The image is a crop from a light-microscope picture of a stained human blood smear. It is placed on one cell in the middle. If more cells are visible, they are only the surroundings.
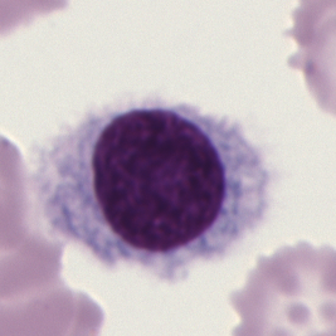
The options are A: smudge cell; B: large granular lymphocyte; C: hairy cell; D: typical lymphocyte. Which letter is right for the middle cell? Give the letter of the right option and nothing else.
C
